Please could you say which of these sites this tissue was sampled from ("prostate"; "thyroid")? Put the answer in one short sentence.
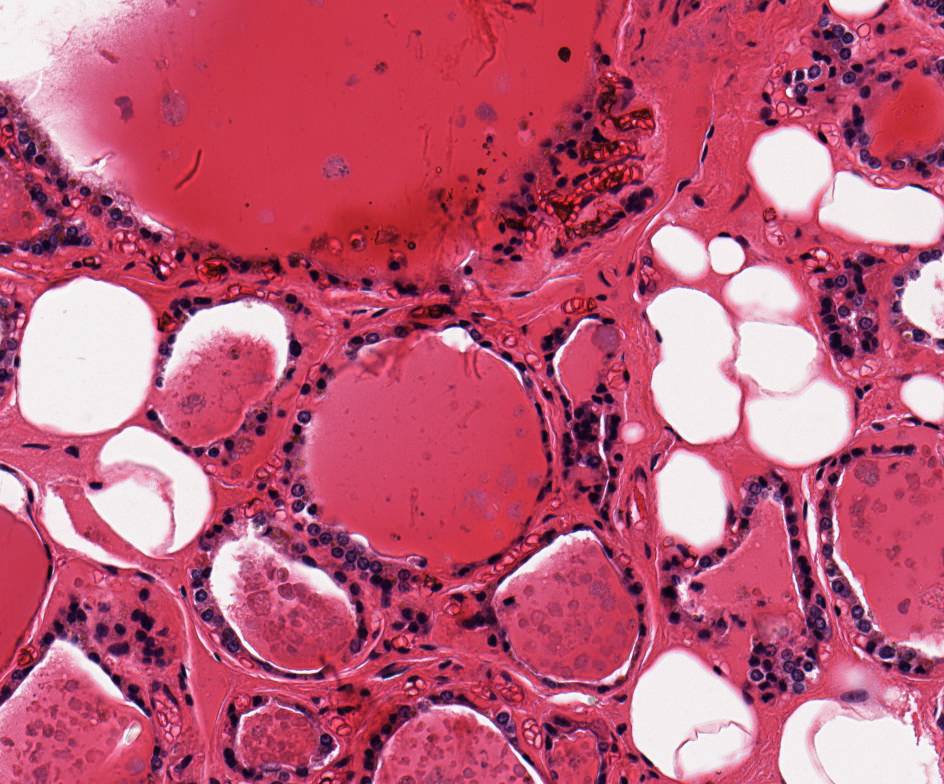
The site this tissue was sampled from is the thyroid.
